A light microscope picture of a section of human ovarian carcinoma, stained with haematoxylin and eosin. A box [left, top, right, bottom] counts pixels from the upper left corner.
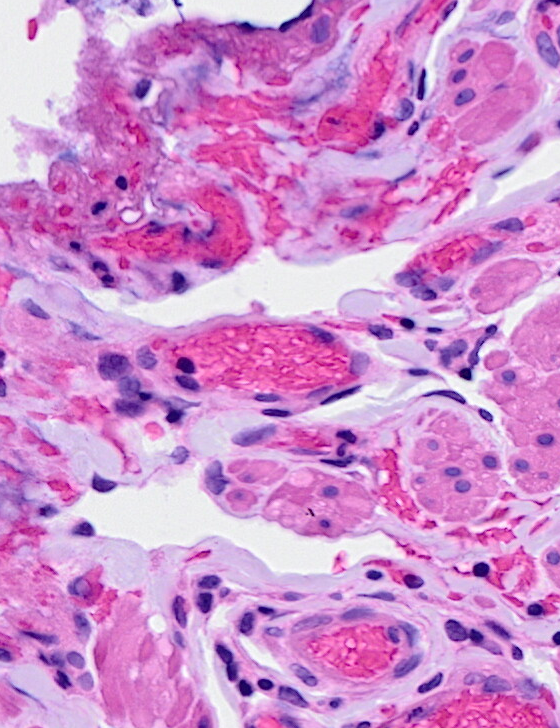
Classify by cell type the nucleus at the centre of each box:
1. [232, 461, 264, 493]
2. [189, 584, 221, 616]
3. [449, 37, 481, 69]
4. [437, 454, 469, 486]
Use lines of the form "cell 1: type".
cell 1: smooth muscle cell
cell 2: lymphocyte
cell 3: smooth muscle cell
cell 4: smooth muscle cell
